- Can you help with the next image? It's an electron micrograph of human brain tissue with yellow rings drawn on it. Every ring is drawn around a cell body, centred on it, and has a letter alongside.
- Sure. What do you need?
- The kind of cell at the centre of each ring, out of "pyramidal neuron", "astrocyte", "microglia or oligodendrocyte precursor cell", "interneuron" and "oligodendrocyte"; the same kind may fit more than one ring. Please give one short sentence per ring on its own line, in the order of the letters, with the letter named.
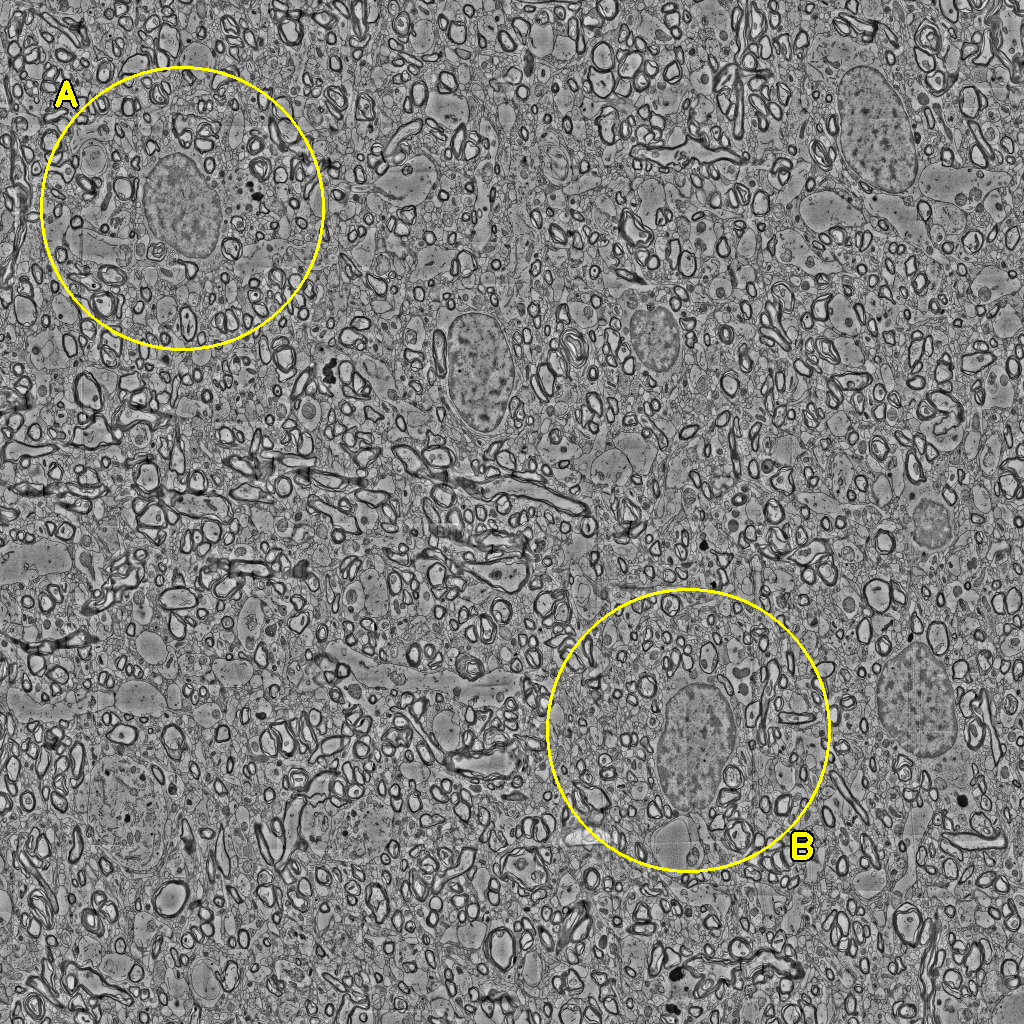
Ring A picks out an oligodendrocyte.
Ring B picks out an oligodendrocyte.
